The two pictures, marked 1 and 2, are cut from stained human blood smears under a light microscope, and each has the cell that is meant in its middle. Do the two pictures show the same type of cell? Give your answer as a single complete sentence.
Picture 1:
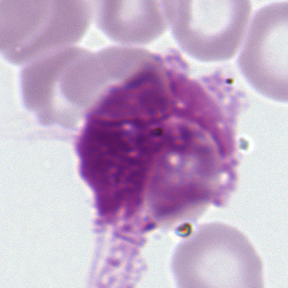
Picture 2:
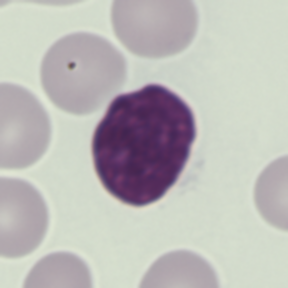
Yes, both are smudge cells.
